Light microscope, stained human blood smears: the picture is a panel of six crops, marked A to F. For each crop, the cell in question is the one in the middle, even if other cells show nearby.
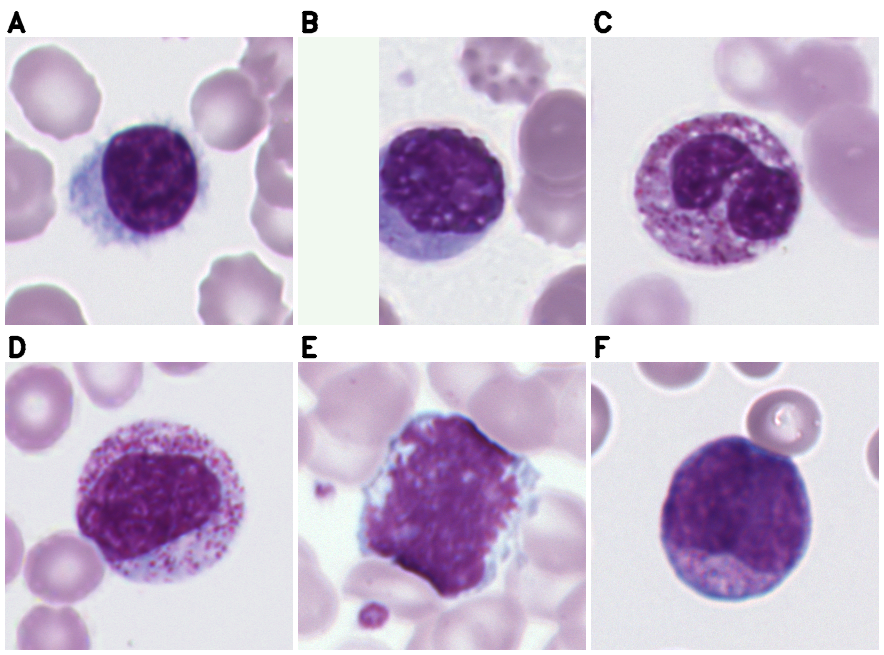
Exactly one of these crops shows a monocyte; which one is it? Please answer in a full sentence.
The crop marked E is the one that shows a monocyte.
